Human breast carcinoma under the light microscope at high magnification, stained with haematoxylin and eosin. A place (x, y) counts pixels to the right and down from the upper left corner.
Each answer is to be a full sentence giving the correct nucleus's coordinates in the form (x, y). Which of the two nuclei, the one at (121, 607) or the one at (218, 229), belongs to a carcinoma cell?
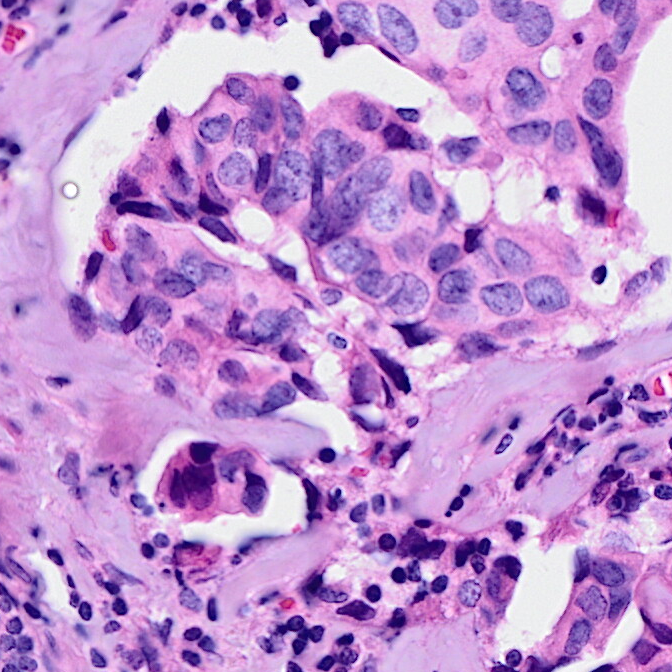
Between the pair, the nucleus at (218, 229) belongs to a carcinoma cell.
